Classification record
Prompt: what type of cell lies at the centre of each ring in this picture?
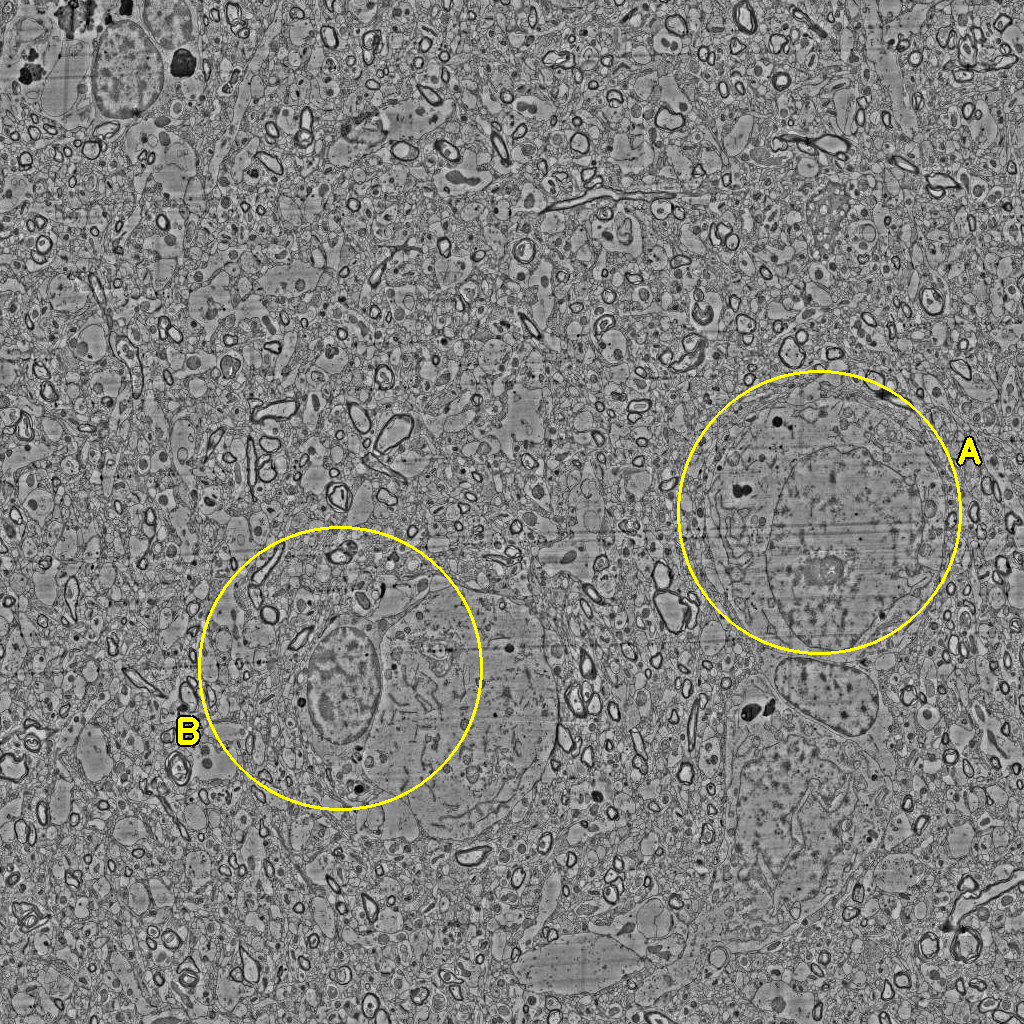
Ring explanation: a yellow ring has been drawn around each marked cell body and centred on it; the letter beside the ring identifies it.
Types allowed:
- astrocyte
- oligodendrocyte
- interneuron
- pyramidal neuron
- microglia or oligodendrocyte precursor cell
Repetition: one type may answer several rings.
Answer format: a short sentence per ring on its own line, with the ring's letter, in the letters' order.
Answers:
Ring A shows a pyramidal neuron at its centre.
Ring B shows an oligodendrocyte at its centre.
